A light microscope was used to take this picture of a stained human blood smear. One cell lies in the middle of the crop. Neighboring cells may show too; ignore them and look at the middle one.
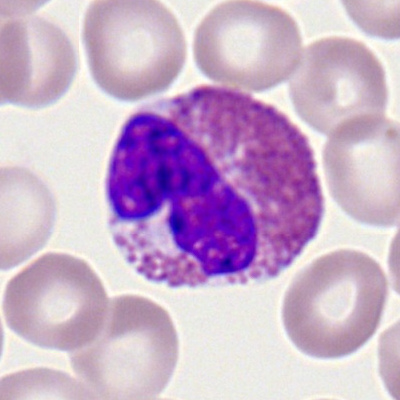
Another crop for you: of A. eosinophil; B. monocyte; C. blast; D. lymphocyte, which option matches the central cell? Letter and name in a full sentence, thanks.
The cell shown centrally is an eosinophil; option A is the correct option.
